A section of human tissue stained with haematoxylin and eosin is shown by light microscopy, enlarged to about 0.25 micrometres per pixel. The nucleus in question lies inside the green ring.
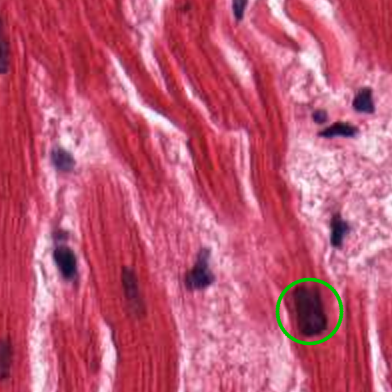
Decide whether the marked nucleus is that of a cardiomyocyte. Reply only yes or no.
yes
